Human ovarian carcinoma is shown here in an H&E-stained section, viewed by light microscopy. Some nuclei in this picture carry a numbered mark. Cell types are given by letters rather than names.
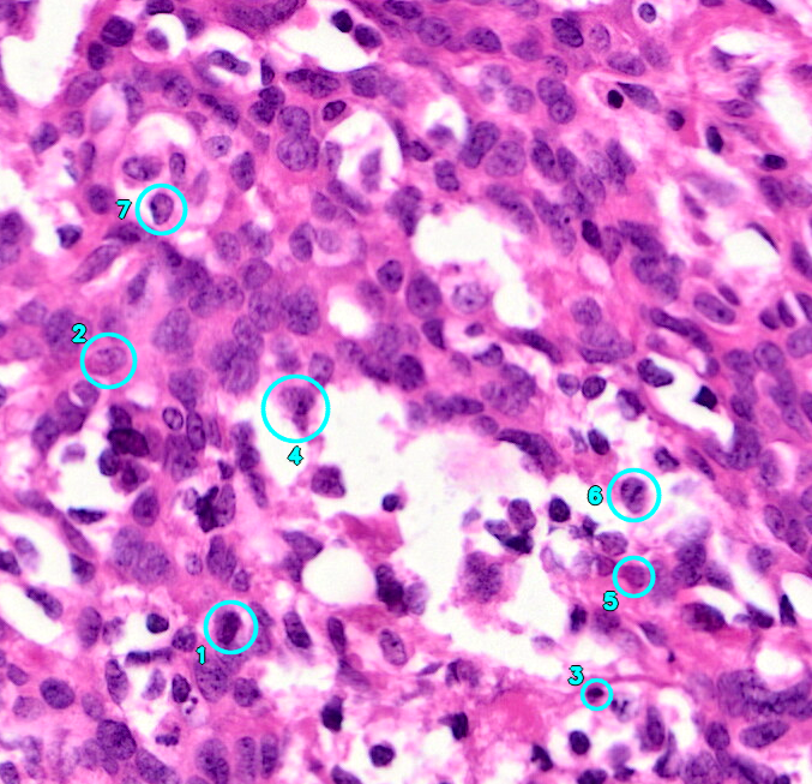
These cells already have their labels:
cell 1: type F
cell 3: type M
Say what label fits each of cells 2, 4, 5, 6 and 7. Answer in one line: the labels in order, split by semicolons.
type F; type M; type F; type M; type M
